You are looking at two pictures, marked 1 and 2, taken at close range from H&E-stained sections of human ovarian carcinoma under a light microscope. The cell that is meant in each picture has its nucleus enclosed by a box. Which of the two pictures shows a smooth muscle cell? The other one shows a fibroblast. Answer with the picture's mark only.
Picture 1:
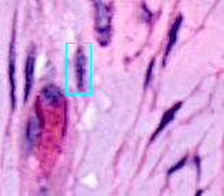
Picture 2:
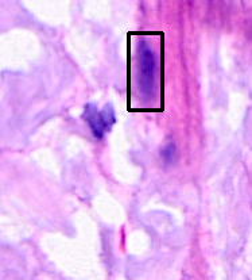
2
